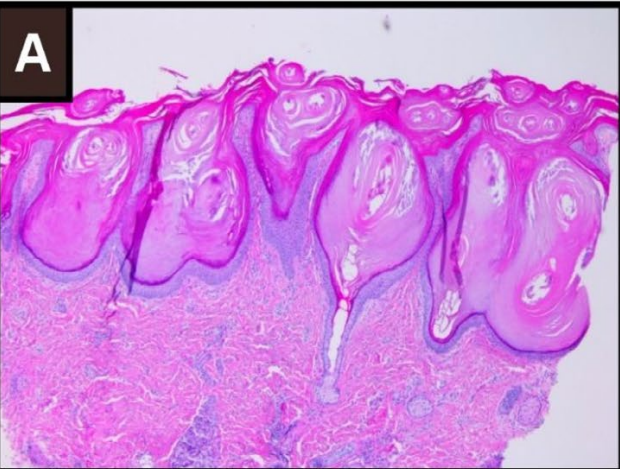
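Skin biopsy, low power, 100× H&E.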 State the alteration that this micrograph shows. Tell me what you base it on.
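Numerous dilated follicular ostia with keratin plugs. Several widened cup-shaped invaginations open onto the skin surface. The invaginations are filled with pink lamellated keratin. The plugs lie side by side across the whole width of the section.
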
